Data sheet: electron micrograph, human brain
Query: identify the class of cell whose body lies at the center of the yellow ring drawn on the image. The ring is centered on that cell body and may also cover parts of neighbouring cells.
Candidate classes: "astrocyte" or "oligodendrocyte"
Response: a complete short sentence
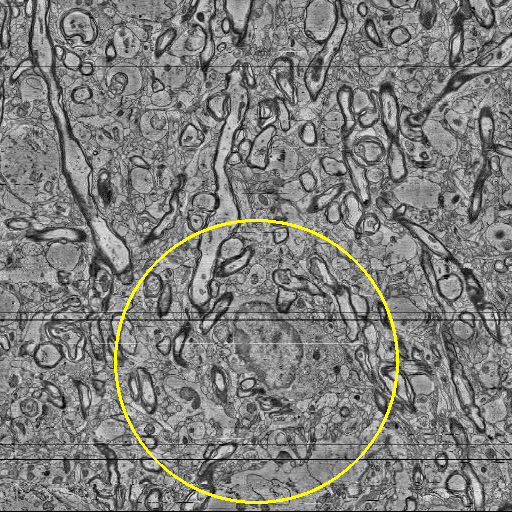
At the center of the ring lies an oligodendrocyte.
